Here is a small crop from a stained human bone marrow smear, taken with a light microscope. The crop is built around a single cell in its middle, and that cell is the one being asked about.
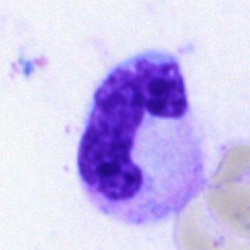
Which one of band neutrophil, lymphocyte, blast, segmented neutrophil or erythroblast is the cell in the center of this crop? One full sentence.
The cell occupying the middle of the crop is a segmented neutrophil.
